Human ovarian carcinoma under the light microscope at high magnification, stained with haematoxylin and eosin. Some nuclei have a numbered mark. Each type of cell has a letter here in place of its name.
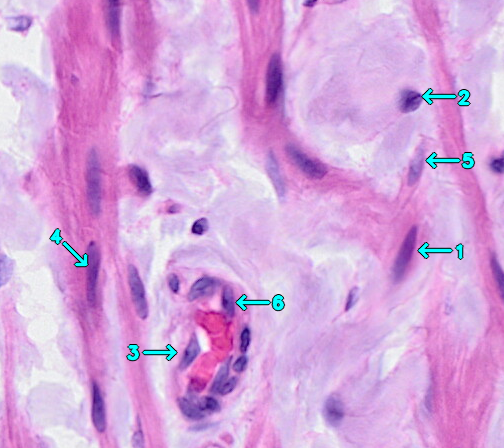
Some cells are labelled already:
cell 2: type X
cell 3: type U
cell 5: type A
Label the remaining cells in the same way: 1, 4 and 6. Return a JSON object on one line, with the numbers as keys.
{"1": "type A", "4": "type A", "6": "type U"}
